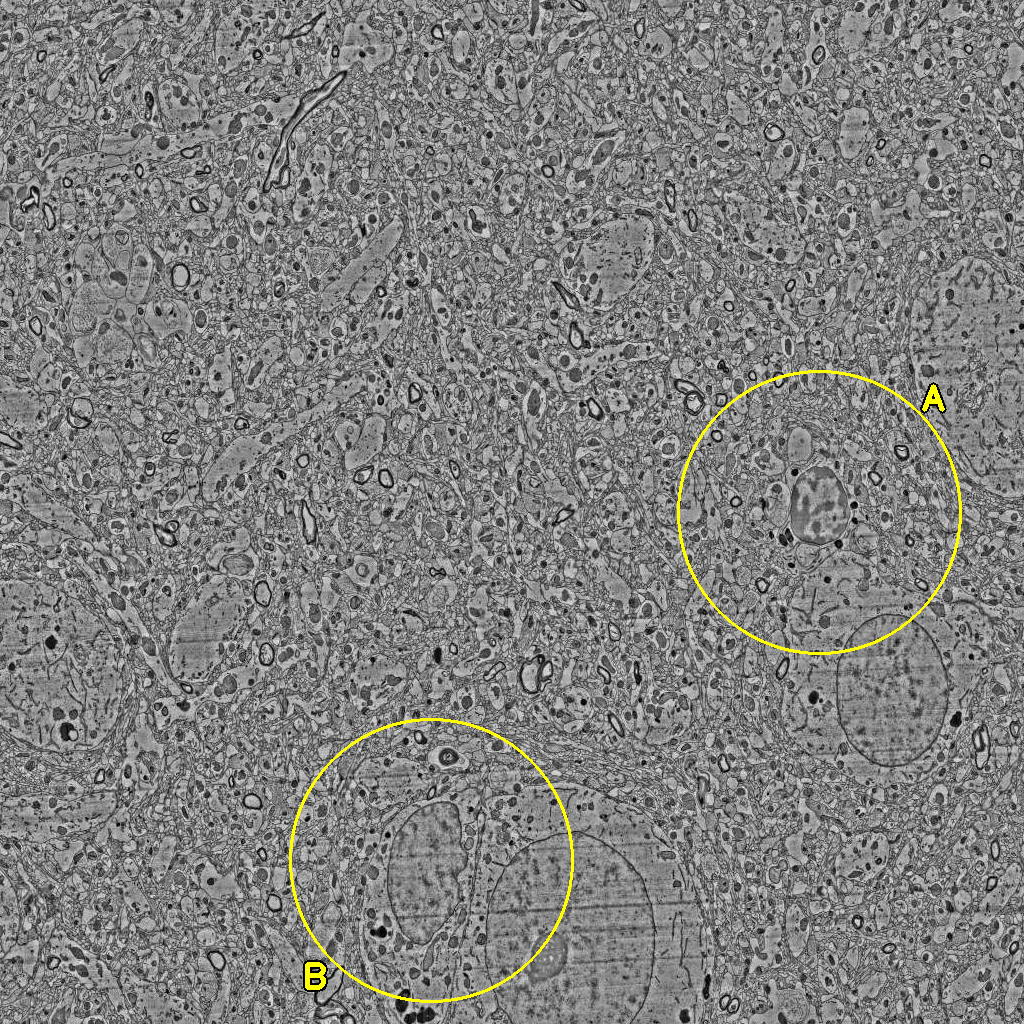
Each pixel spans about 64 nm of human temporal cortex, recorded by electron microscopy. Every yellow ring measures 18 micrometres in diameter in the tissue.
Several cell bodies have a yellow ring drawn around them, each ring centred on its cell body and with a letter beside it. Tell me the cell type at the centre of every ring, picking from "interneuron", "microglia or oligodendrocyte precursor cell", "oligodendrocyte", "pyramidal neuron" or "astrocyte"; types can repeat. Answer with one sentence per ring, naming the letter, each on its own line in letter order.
In ring A, the central cell is a microglial cell or oligodendrocyte precursor cell.
In ring B, the central cell is an interneuron.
